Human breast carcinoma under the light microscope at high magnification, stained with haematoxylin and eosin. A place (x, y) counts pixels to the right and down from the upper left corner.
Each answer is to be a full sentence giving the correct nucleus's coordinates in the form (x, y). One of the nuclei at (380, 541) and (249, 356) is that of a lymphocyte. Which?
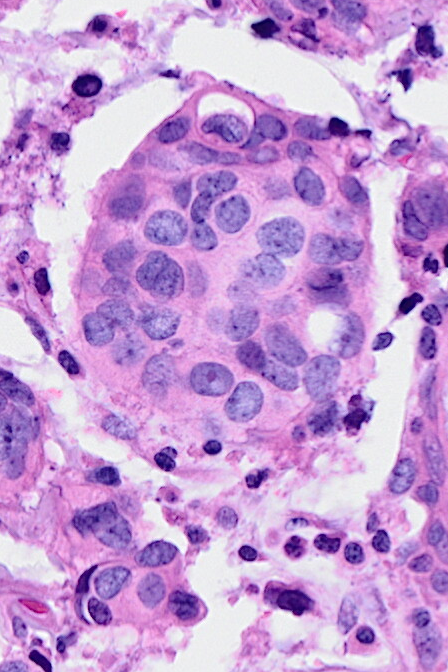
Out of the two, it is the nucleus at (380, 541) that belongs to a lymphocyte.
